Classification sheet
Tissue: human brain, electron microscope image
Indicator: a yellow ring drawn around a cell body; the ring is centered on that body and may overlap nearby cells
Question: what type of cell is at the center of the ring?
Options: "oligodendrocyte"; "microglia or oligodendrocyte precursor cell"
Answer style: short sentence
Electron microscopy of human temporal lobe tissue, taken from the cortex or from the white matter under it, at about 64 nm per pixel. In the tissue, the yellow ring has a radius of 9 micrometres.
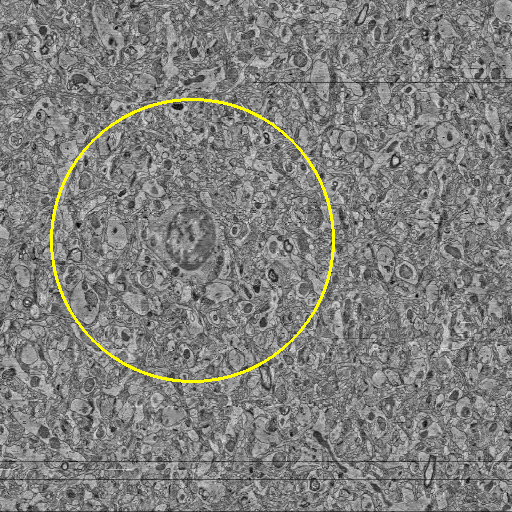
At the ring's center is an oligodendrocyte.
